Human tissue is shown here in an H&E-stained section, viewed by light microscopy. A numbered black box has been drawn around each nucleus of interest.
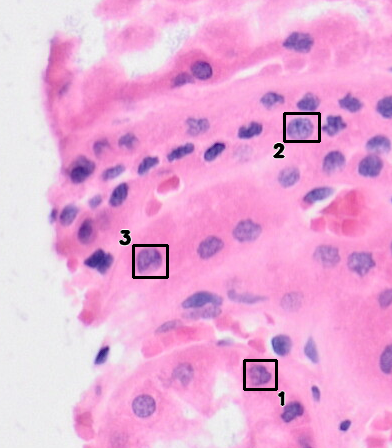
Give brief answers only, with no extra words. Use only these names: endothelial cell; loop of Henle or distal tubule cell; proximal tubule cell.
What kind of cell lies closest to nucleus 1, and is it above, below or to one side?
an endothelial cell; above and to the right of nucleus 1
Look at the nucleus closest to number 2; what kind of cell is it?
loop of Henle or distal tubule cell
